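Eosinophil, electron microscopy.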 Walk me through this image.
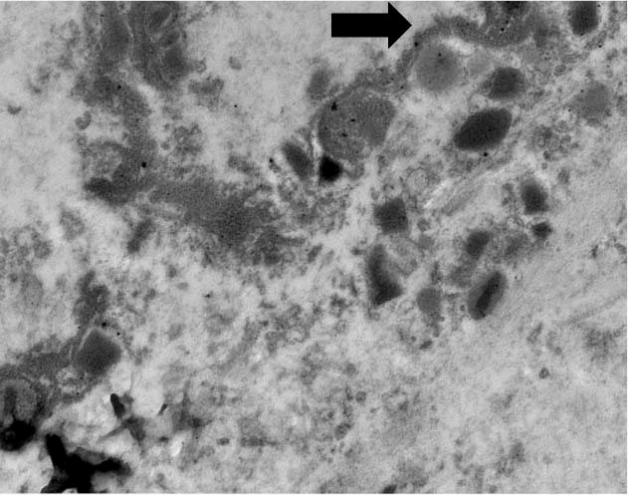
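Scattered among and against these strands lie numerous dark oval granules, free of any surrounding cell outline, varying in size and density, some with a denser core. At the upper right a thin winding strand runs directly into contact with a group of these granules. Irregular dark fibrillar material also extends diagonally across the middle of the field, and a few very dark irregular deposits lie at the lower left.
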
